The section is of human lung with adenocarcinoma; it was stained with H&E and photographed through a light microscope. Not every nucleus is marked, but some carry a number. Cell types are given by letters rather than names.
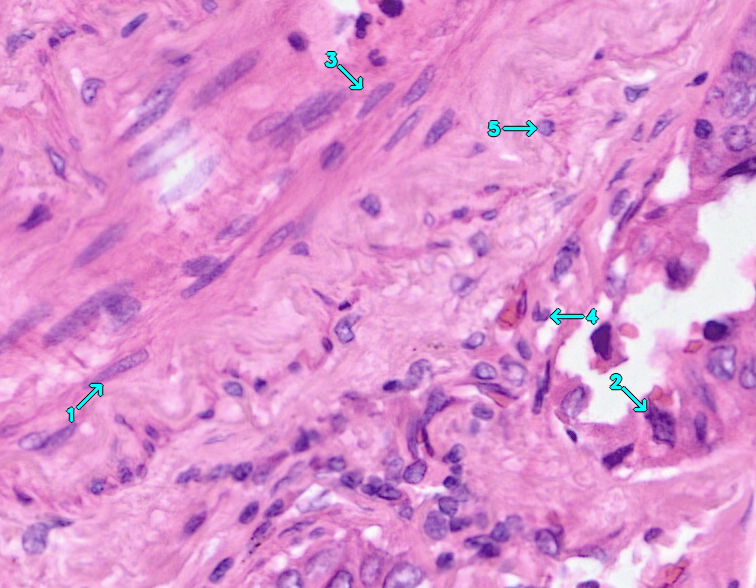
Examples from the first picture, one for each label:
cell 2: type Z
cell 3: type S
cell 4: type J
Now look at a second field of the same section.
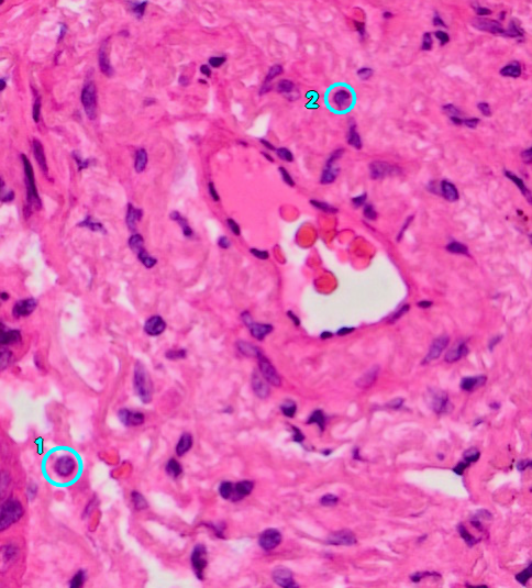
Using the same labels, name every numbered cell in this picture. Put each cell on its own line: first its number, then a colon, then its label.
1: type J
2: type S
